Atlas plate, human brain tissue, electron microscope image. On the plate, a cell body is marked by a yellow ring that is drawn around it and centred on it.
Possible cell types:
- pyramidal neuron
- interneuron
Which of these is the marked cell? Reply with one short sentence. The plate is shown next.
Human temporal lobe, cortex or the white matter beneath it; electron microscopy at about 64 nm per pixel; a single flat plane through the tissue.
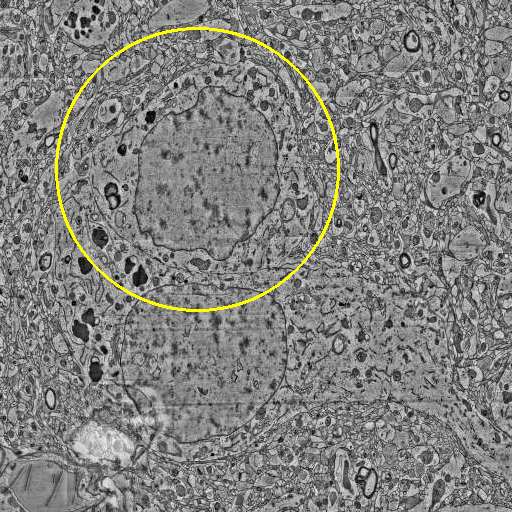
The marked cell is a pyramidal neuron.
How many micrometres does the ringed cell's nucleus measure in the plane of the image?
About 11 by 10 micrometers for the nucleus, in this plane.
